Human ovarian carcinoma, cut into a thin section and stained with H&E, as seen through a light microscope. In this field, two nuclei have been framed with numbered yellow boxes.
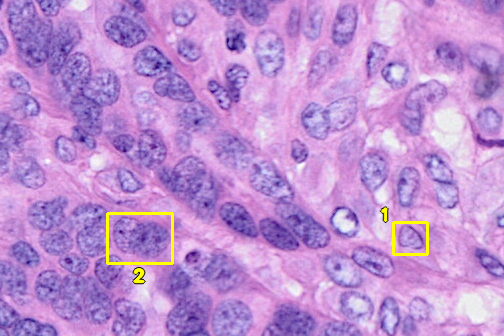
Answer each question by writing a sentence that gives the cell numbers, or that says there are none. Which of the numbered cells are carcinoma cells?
Only the nucleus marked 2 is that of a carcinoma cell.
